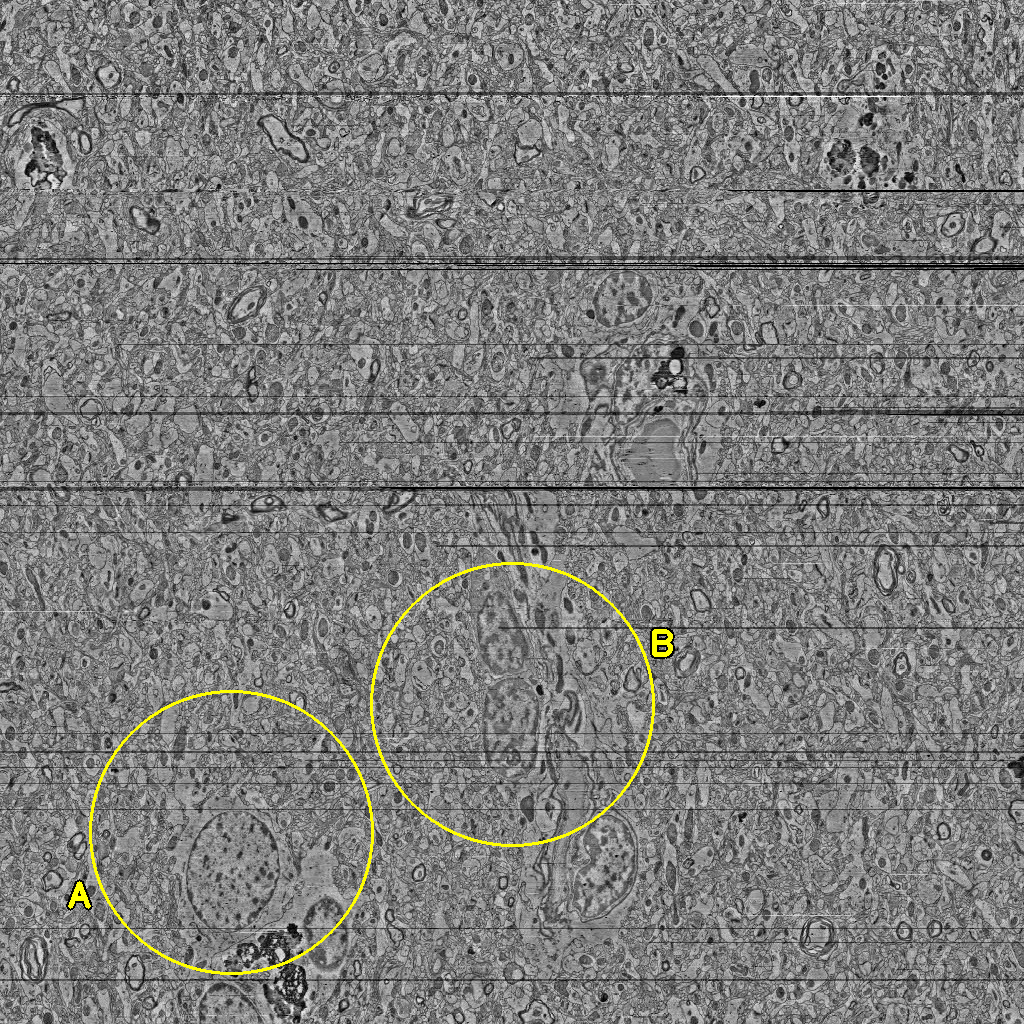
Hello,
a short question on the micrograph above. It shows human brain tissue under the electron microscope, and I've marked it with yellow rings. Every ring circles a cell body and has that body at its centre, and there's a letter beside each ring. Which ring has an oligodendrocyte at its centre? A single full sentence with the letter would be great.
The cell you asked about sits at the centre of ring B.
